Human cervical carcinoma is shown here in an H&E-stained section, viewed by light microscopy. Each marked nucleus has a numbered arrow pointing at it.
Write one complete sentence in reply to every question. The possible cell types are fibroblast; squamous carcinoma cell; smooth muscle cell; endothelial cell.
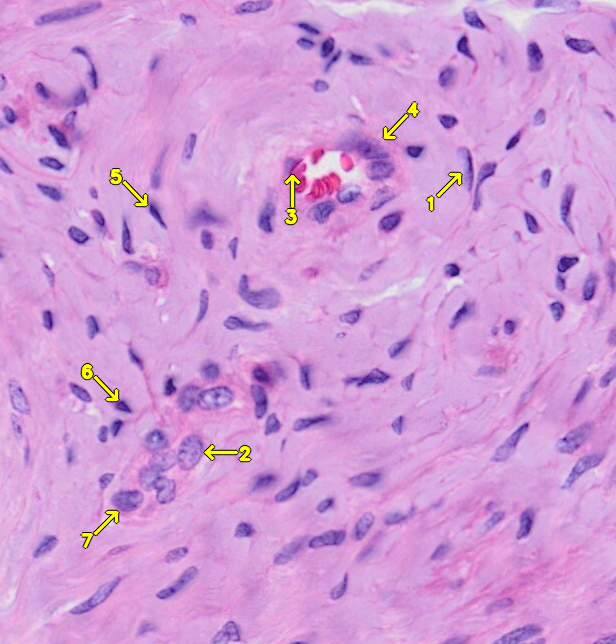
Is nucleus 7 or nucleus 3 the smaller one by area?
Nucleus 3 covers less area, with nucleus 7 about 3 times as large.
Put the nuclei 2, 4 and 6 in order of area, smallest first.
Smallest first, the nuclei run 6, 4, 2.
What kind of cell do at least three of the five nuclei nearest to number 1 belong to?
Of the five nuclei nearest to number 1, most belong to fibroblasts.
